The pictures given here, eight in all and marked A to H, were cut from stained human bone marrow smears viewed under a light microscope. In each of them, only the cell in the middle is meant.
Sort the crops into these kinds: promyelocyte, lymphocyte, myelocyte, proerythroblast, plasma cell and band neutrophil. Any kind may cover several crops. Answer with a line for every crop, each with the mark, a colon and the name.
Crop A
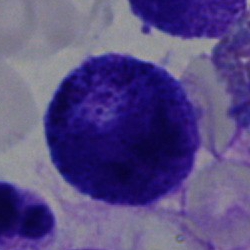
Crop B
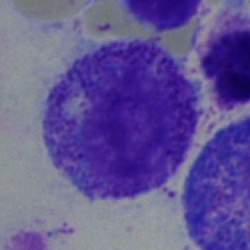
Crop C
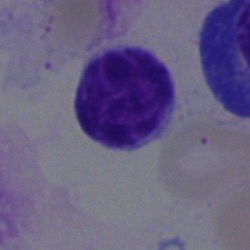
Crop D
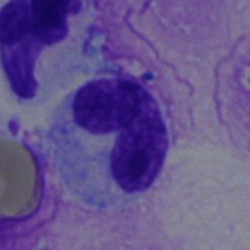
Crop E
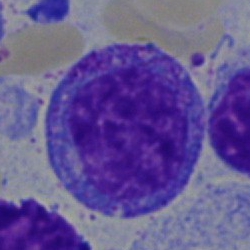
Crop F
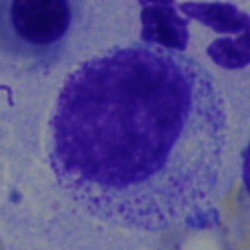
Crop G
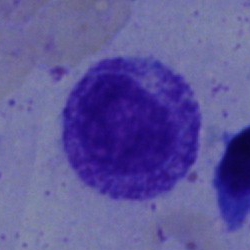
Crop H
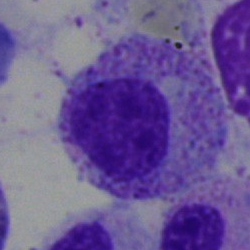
A: promyelocyte
B: myelocyte
C: lymphocyte
D: band neutrophil
E: promyelocyte
F: myelocyte
G: myelocyte
H: myelocyte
